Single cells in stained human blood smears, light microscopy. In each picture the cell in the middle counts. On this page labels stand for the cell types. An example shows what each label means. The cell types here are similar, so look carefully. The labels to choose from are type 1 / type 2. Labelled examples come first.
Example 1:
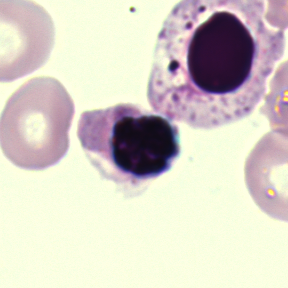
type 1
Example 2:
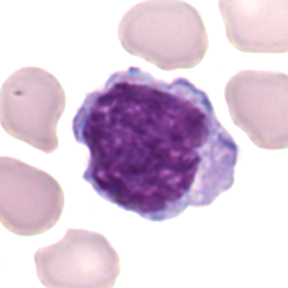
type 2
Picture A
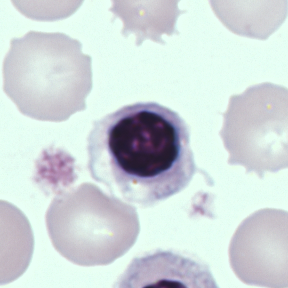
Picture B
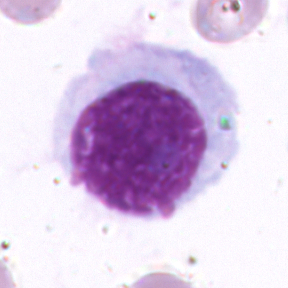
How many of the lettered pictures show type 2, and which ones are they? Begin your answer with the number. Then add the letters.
1, namely B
